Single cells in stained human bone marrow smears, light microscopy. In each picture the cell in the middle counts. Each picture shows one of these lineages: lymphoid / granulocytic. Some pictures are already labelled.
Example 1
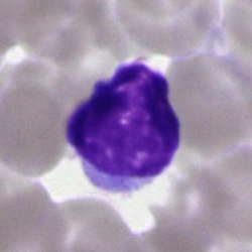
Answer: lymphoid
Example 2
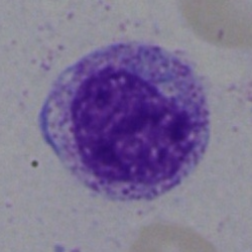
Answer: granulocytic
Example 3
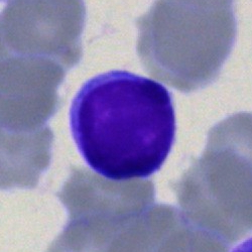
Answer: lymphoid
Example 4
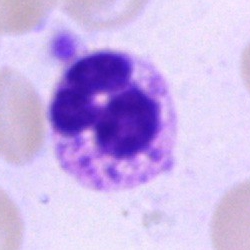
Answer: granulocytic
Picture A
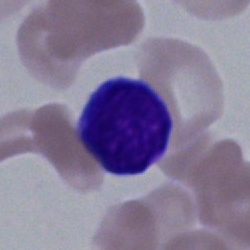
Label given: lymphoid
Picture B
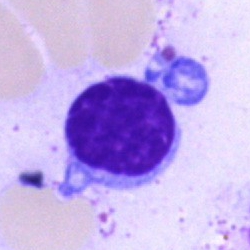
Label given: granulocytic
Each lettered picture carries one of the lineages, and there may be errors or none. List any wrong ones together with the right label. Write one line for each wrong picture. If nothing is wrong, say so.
B: not granulocytic but lymphoid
